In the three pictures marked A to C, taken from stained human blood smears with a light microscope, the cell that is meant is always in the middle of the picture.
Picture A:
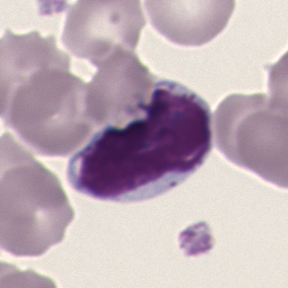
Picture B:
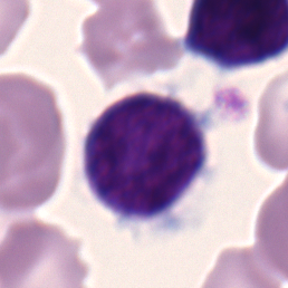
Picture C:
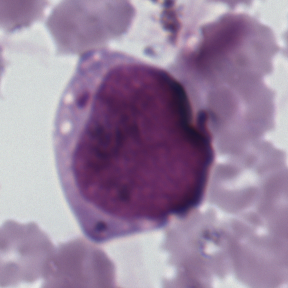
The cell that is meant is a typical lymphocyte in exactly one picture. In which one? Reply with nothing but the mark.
A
